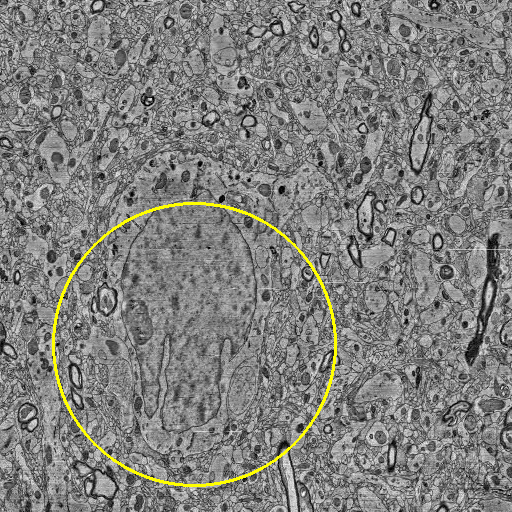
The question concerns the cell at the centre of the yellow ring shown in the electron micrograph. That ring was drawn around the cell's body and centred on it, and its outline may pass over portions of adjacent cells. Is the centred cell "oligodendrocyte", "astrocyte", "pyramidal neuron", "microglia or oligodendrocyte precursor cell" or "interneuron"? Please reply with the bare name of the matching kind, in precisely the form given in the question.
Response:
interneuron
